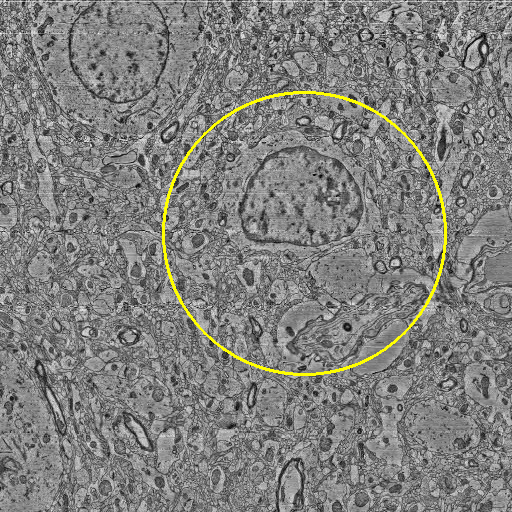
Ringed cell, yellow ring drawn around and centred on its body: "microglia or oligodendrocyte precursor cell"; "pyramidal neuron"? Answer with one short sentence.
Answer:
This ringed cell is a microglial cell or oligodendrocyte precursor cell.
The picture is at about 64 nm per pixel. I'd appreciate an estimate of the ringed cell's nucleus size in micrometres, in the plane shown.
Approximately 8 x 7 micrometres in this plane.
